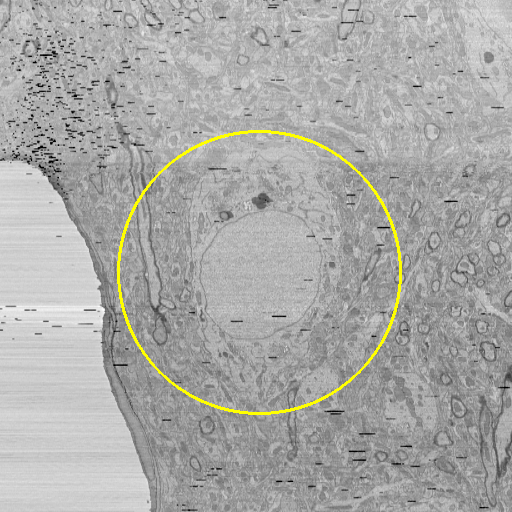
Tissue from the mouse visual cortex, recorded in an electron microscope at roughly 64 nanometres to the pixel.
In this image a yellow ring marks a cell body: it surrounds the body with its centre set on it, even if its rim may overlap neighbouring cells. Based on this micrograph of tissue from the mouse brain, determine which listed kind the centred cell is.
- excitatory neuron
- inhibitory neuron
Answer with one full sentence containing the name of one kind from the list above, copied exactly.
It is an excitatory neuron whose body the yellow ring encloses at its centre.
